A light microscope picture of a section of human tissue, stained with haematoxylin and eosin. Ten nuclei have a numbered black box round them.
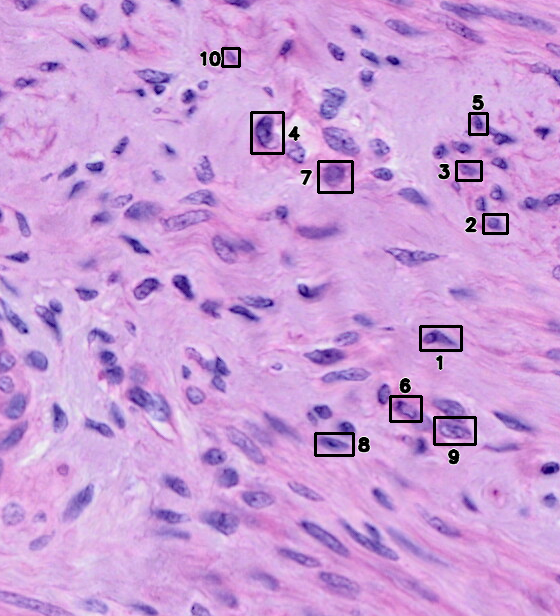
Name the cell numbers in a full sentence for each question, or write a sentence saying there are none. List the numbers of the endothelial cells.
Within this tissue, the cells numbered 4, 6, 7 and 9 are endothelial cells.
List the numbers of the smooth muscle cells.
Within this tissue, the cells numbered 2, 3, 5 and 10 are smooth muscle cells.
